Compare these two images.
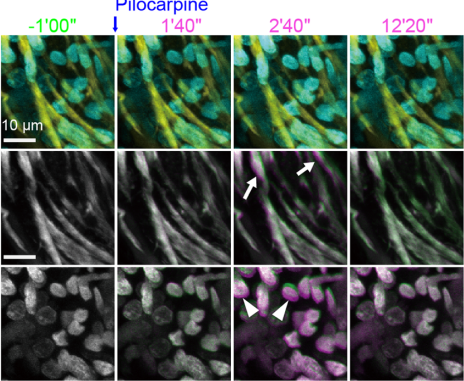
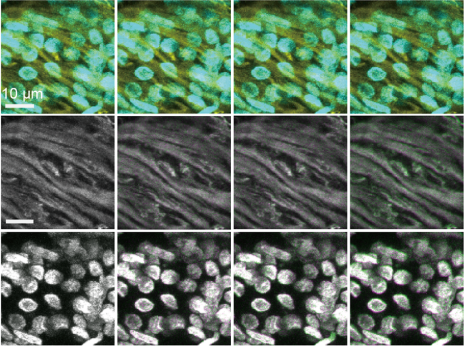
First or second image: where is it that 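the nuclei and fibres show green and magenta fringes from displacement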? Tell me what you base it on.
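Second image: grayscale tiles stay largely white-gray with little colour fringing.
Hence: the first image.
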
